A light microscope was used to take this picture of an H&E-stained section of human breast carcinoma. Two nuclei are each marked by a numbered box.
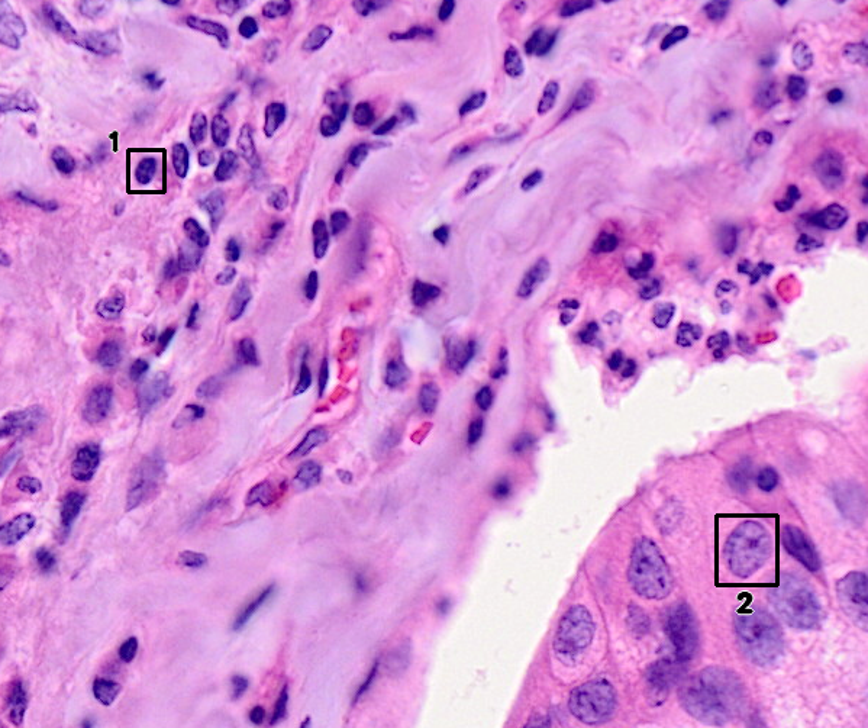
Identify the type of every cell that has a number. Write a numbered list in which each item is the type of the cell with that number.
1. lymphocyte
2. carcinoma cell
